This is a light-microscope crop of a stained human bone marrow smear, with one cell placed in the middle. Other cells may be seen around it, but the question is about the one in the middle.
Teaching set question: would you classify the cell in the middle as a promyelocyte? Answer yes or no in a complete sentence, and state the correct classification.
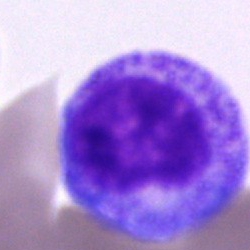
Yes, the centred cell is categorised as a promyelocyte.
